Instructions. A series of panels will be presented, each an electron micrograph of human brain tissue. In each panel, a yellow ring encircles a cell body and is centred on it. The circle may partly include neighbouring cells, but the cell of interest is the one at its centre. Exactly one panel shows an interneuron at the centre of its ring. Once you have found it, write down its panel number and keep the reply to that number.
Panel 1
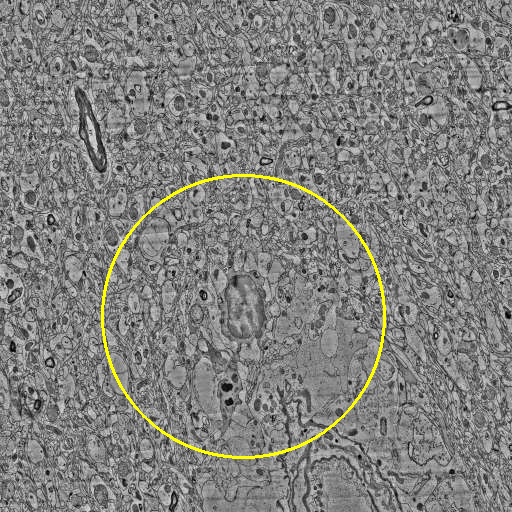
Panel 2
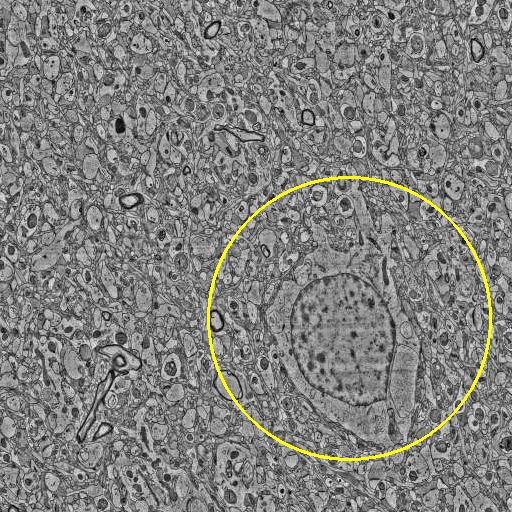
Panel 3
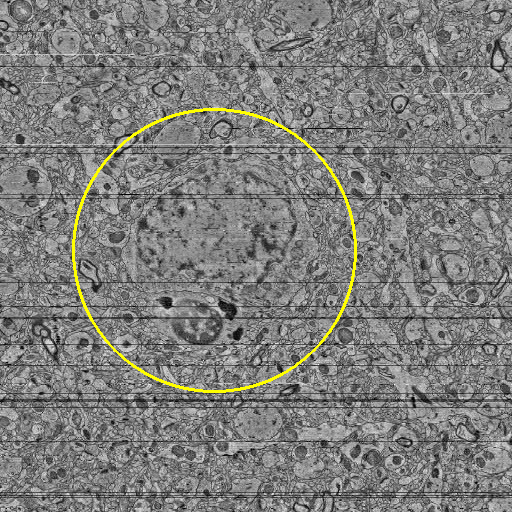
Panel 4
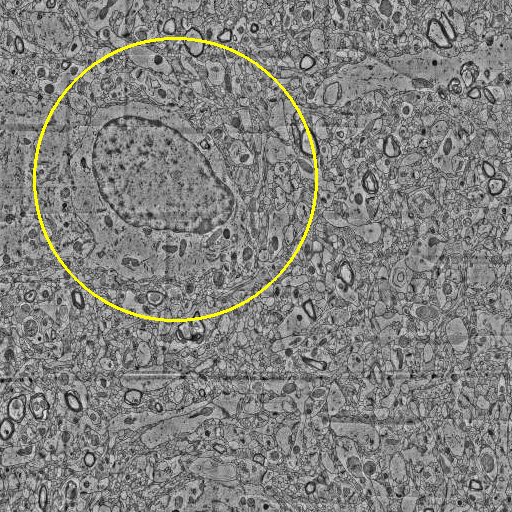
3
